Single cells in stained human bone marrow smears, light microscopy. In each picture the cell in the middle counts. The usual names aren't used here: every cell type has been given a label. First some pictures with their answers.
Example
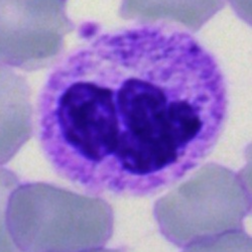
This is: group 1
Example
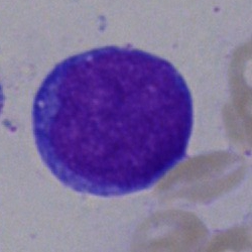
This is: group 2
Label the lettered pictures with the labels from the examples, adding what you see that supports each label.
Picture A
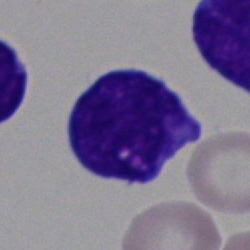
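group 2: The cytoplasm is scant and shows mainly as a paler purple patch at the right-hand bulge.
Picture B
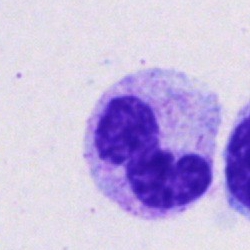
group 1: The cytoplasm is plentiful and pale lilac.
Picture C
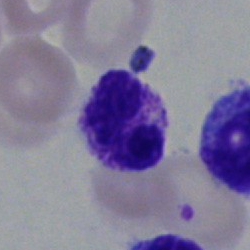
group 1: The dense granules make the outline of the nucleus hard to follow.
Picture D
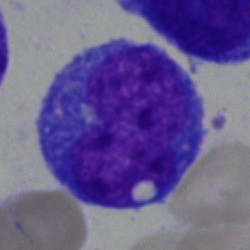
group 2: The chromatin is finely textured rather than coarsely clumped.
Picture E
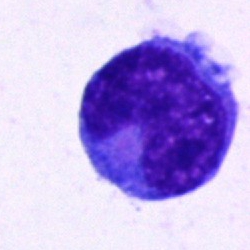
group 2: The nucleus fills most of the cell.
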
